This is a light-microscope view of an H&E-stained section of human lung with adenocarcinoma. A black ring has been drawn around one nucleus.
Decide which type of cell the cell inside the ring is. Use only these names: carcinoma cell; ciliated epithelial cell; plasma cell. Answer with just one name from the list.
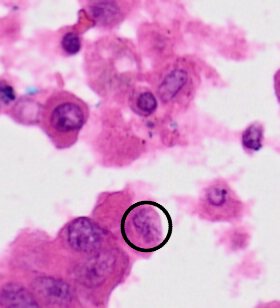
carcinoma cell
